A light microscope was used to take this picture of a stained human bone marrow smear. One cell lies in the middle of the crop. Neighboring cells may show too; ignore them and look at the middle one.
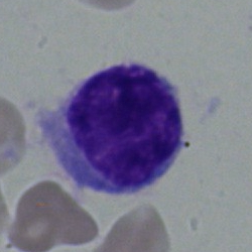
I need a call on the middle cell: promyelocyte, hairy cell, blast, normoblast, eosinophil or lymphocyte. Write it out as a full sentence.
The central element of this crop is a cell, namely a hairy cell.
